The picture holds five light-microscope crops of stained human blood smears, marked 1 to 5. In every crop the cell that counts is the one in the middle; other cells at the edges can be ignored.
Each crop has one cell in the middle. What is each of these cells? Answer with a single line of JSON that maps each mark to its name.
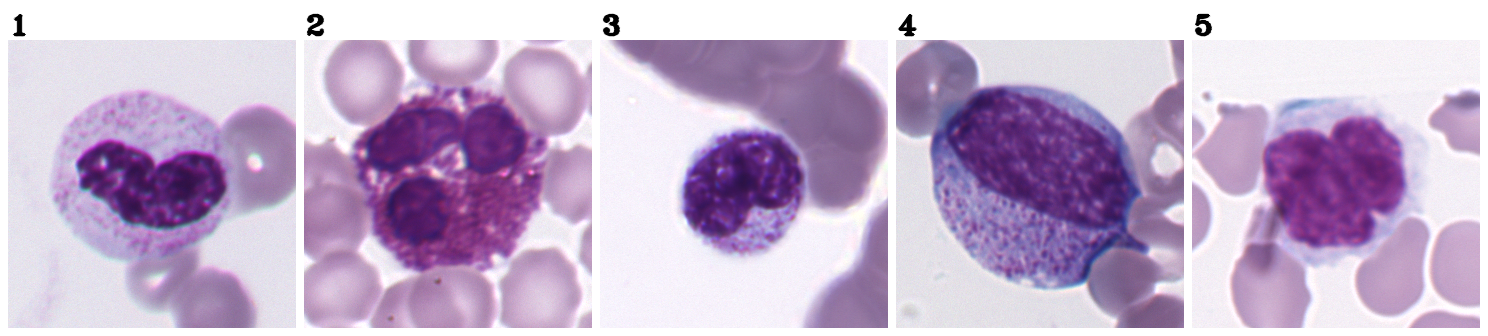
{"1": "band neutrophil", "2": "eosinophil", "3": "metamyelocyte", "4": "promyelocyte", "5": "hairy cell"}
